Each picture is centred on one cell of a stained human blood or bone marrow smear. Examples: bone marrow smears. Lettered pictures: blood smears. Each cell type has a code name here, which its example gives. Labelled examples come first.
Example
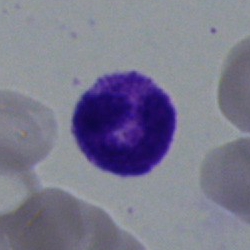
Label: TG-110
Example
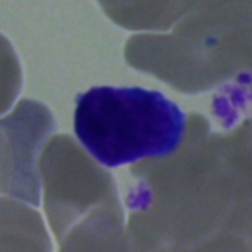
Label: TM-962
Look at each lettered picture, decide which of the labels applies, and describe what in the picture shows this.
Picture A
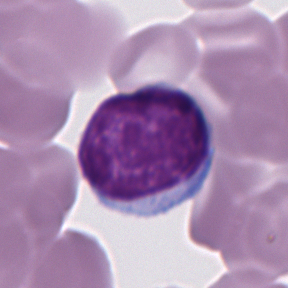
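TM-962. The nucleus fills most of the cell.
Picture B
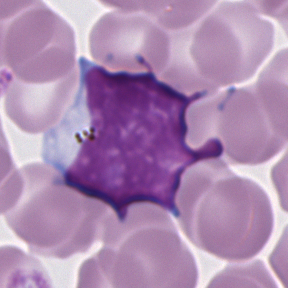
TM-962. The nucleus fills most of the cell.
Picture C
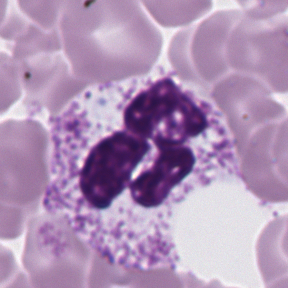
TG-110. The nucleus is divided into three separate lobes.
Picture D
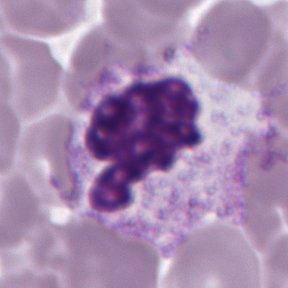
TG-110. The pale cytoplasm is plentiful and lies mostly to the right of and below the nucleus.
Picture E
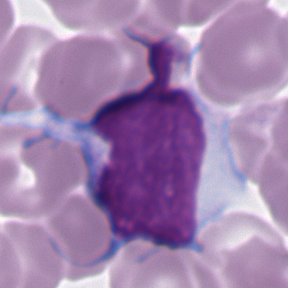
TM-962. The nucleus fills most of the cell.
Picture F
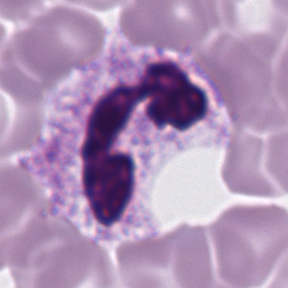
TG-110. The nucleus is a single elongated, curved band bent like a hook, with its upper end turning to the right.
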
